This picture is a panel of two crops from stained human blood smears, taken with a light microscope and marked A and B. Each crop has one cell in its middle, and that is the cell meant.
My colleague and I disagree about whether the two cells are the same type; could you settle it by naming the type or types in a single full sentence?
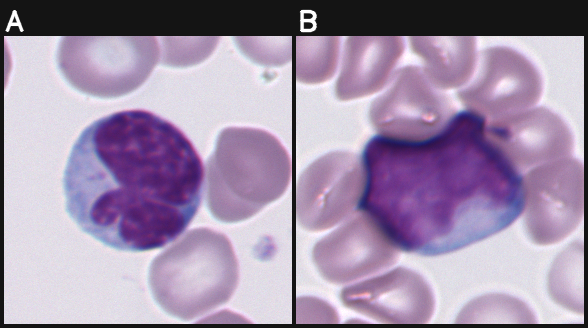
Yes, the cells under consideration in both crops are myeloblasts.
